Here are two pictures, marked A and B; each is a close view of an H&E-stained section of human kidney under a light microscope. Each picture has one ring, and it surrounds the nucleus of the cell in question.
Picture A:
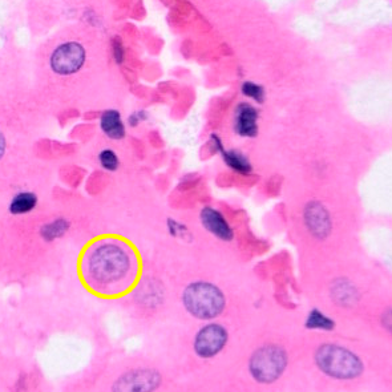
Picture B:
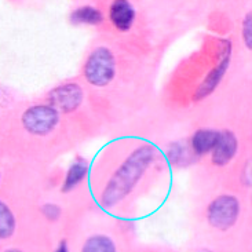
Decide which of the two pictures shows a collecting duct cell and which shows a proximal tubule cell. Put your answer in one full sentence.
Picture A is of a proximal tubule cell, and picture B is of a collecting duct cell.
